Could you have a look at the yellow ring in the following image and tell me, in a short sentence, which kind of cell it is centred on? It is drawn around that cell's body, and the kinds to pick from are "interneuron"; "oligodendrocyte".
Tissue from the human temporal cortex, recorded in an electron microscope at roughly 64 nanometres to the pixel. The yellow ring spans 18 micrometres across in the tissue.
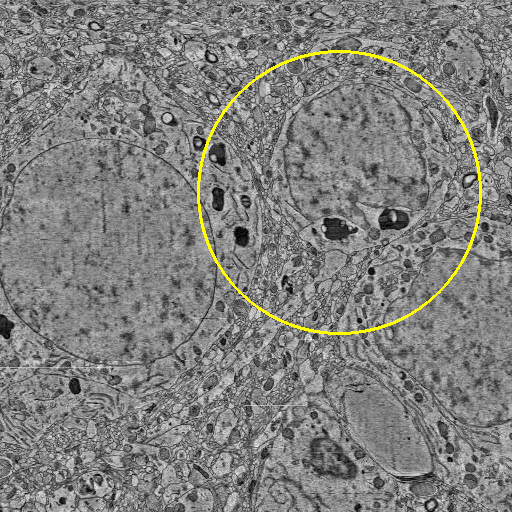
The ring is centred on the body of an interneuron.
